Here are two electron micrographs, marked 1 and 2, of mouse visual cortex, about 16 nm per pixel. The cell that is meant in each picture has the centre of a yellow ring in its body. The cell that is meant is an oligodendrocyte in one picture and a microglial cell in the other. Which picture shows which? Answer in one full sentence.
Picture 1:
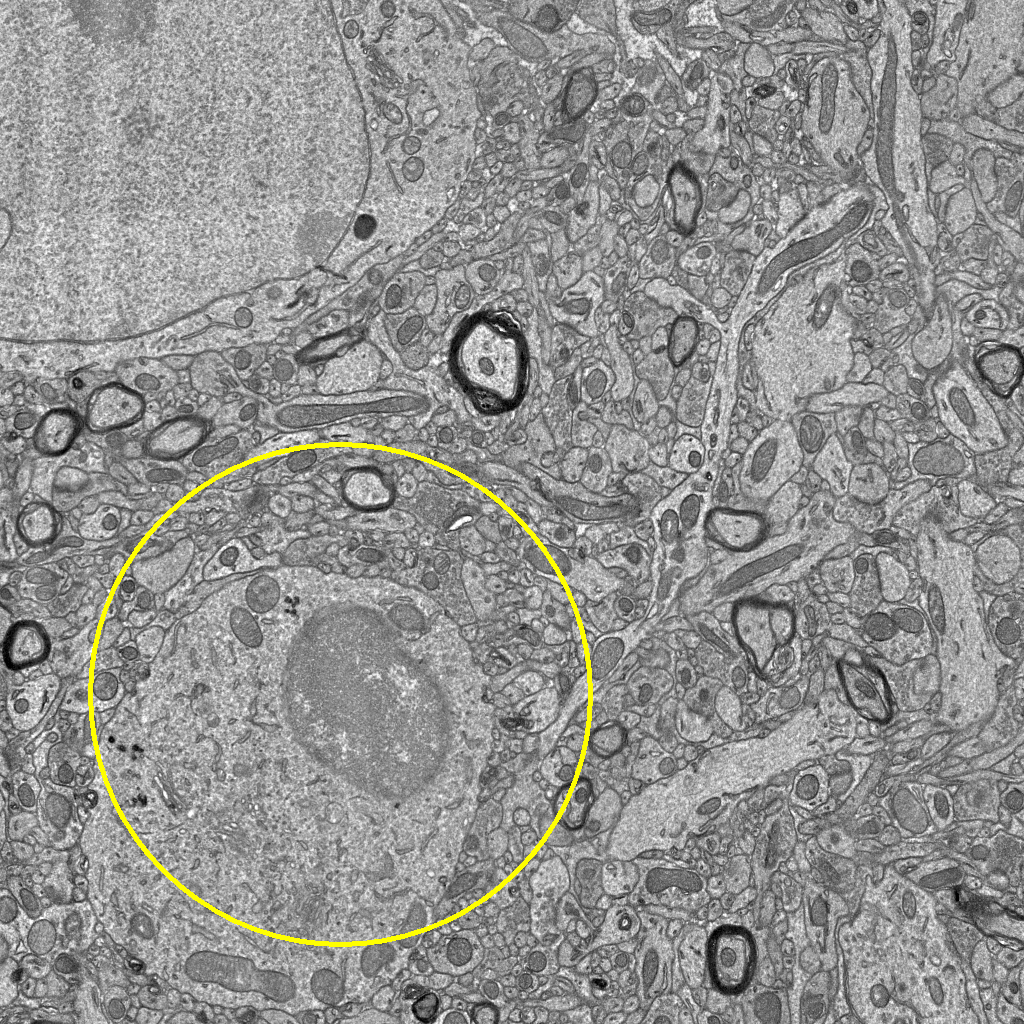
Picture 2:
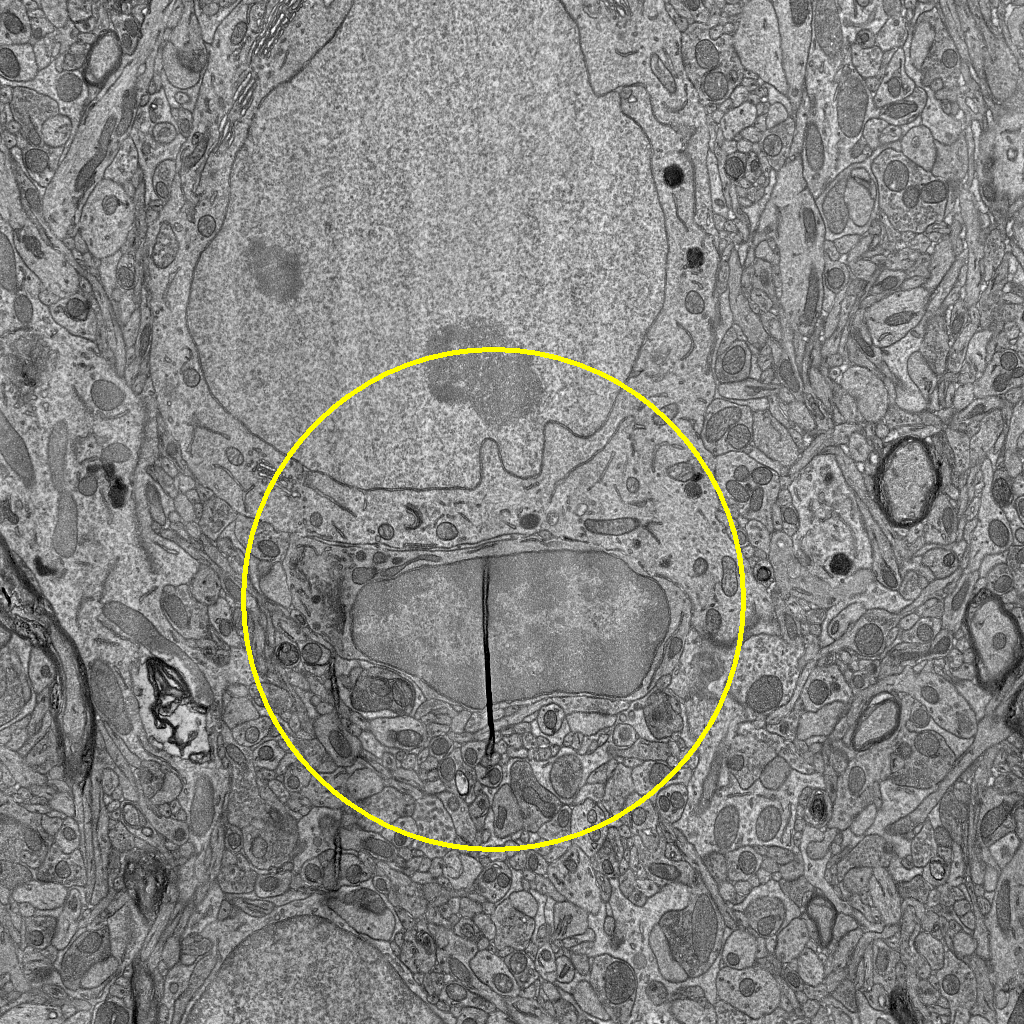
In picture 1 the cell is an oligodendrocyte; in picture 2, a microglial cell.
